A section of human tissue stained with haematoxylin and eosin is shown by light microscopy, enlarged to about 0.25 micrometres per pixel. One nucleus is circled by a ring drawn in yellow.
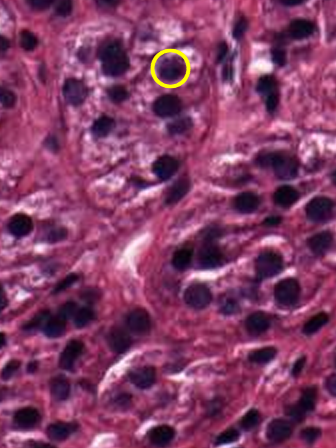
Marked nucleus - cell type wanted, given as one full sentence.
The nucleus singled out by the mark belongs to an adrenal cortical cell.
